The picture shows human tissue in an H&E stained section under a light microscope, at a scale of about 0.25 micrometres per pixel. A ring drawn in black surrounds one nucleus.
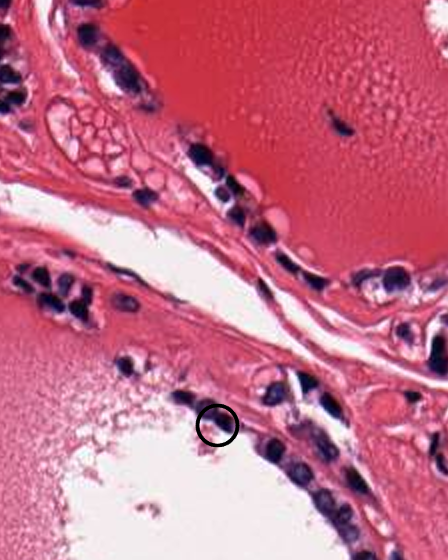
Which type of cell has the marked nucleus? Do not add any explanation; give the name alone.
thyroid follicular cell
